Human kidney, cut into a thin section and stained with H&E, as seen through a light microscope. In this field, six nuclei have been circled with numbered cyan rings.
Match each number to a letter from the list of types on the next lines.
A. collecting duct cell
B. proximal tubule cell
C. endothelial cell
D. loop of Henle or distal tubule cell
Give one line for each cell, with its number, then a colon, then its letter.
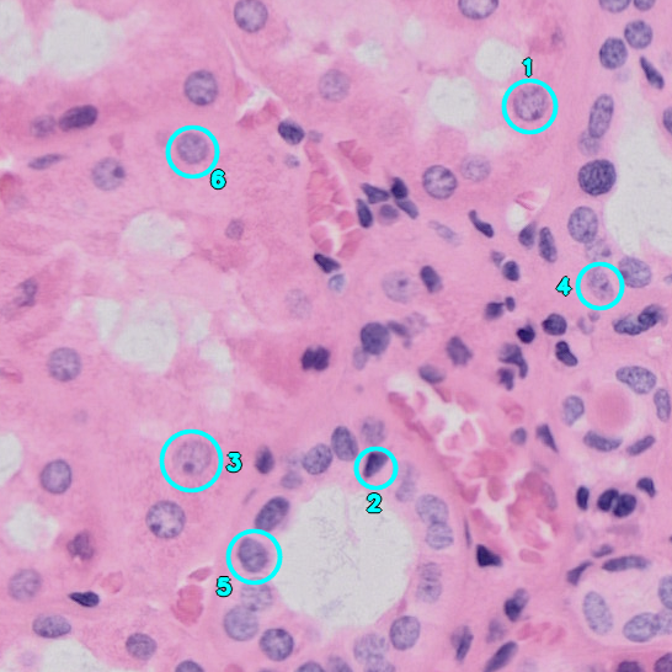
1: B
2: A
3: B
4: A
5: A
6: B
